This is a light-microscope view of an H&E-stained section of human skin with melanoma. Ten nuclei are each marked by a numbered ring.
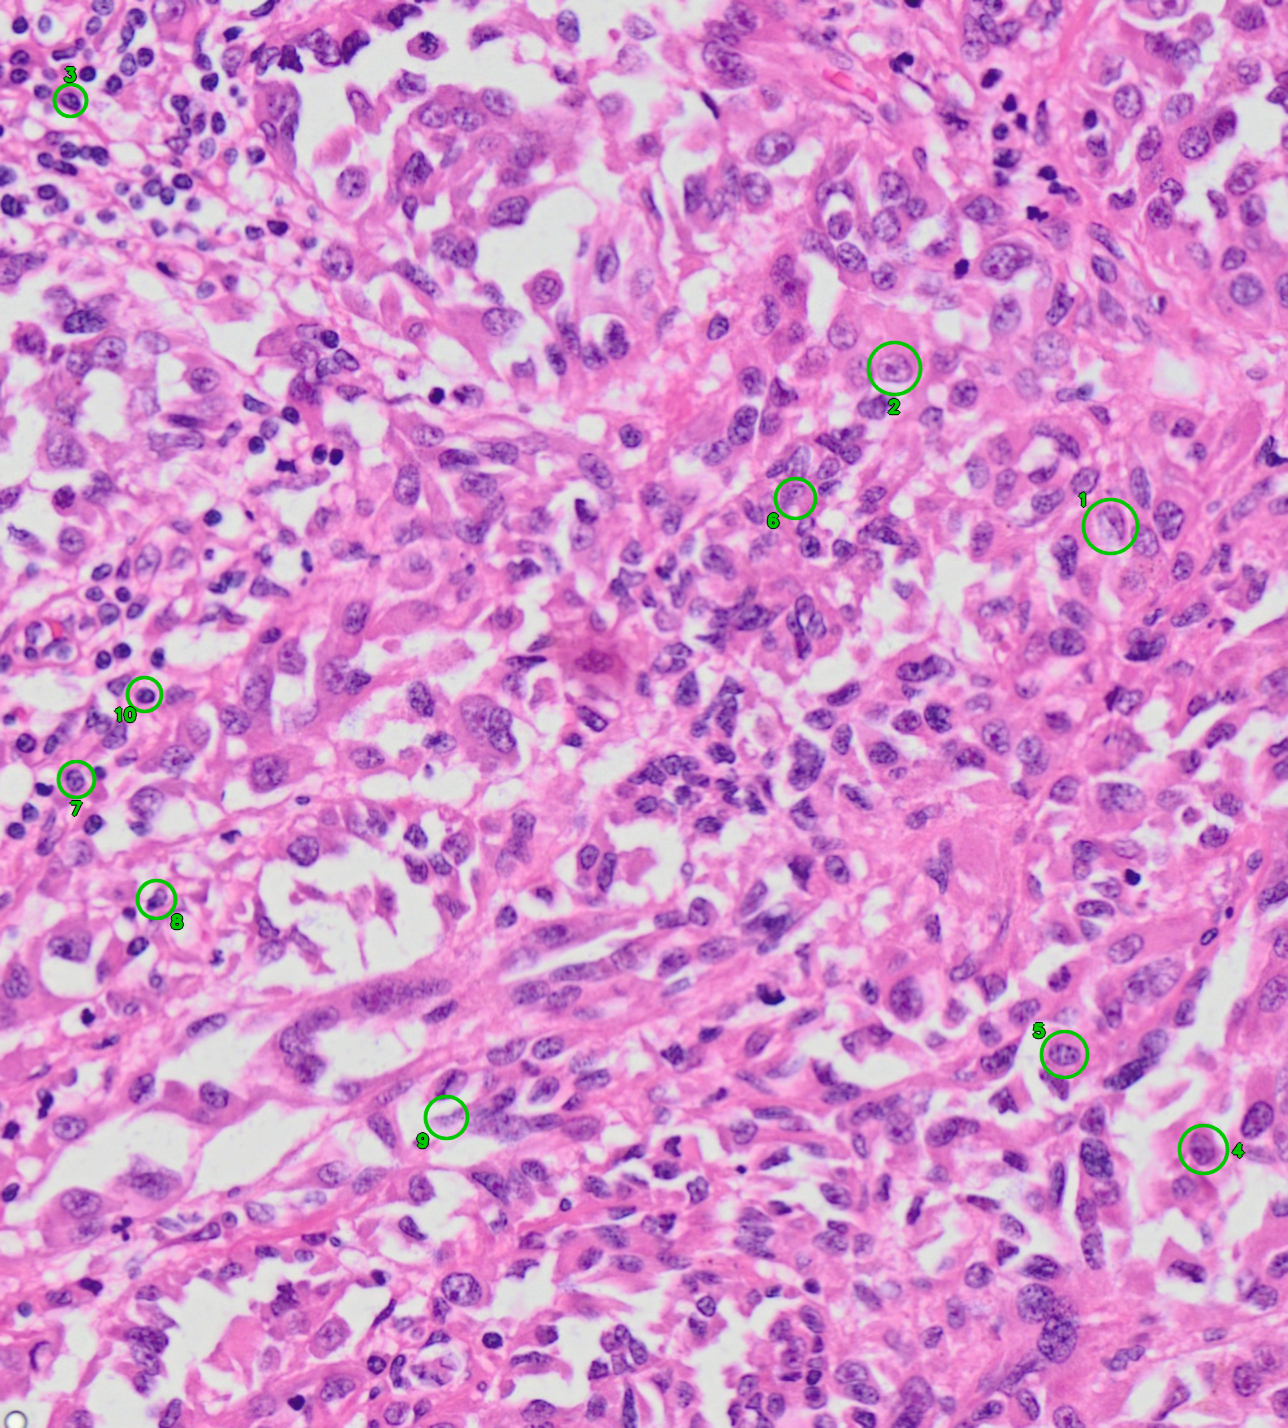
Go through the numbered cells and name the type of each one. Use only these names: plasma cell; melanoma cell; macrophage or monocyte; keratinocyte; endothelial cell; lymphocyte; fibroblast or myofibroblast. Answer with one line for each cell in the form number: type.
1: melanoma cell
2: melanoma cell
3: plasma cell
4: melanoma cell
5: melanoma cell
6: melanoma cell
7: plasma cell
8: lymphocyte
9: melanoma cell
10: lymphocyte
